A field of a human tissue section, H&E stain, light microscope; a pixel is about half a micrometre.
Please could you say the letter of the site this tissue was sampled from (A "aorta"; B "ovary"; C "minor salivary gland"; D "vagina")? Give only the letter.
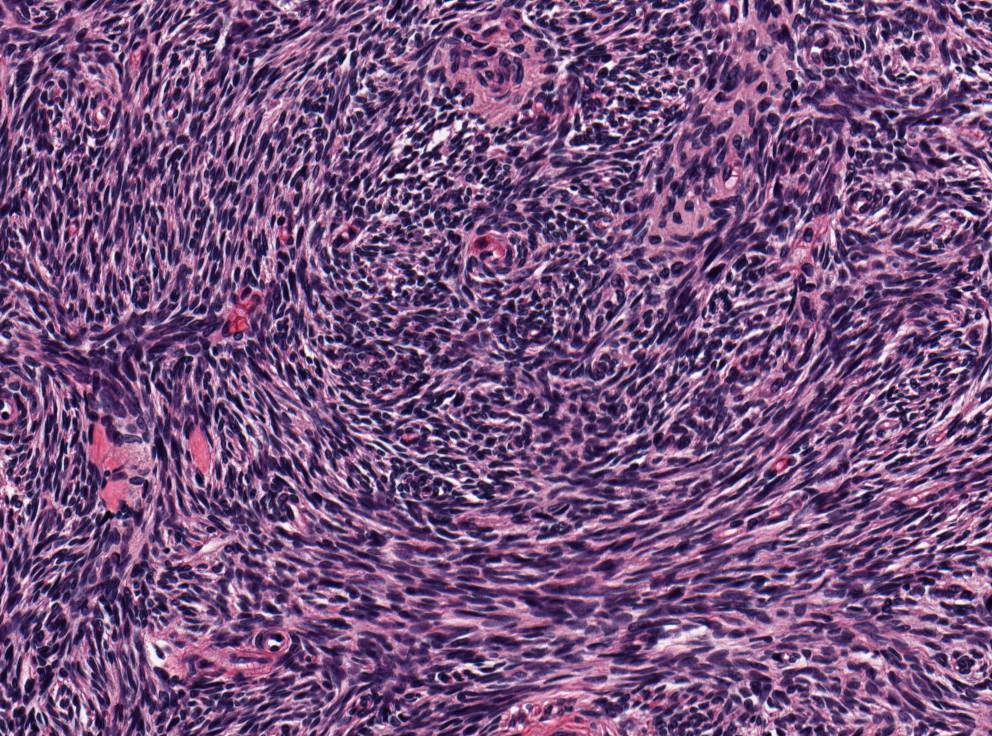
B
